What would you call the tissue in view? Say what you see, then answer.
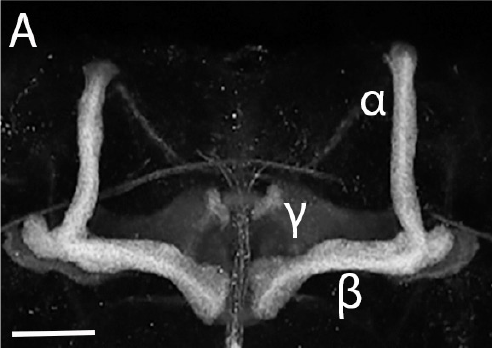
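Paired bright bundles with vertical and horizontal lobes on each side of the midline. Horizontal lobes meet near the midline without crossing. On this evidence: mushroom body.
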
